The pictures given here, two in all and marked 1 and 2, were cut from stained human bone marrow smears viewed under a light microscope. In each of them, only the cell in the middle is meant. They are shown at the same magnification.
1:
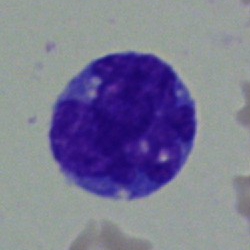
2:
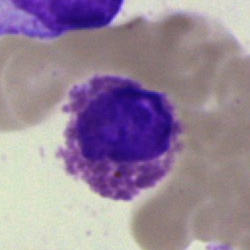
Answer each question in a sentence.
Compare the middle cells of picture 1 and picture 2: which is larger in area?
Picture 1 holds the larger cell; it covers about 1.5 times the area of the cell in picture 2.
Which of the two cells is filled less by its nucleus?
Of the two, the nucleus in picture 2 leaves more room for cytoplasm.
